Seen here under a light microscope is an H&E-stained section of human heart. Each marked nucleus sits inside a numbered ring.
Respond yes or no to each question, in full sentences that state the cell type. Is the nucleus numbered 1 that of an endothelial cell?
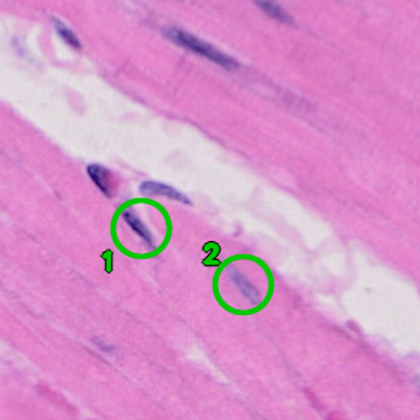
Yes, the marked cell number 1 is an endothelial cell.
